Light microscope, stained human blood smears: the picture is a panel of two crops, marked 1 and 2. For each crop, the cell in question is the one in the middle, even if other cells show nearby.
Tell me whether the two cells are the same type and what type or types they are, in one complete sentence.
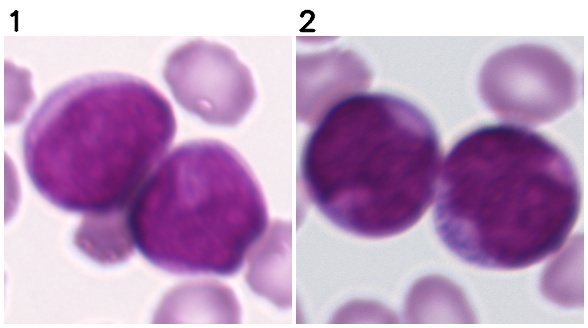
Yes, both crops show myeloblasts as the central cells.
